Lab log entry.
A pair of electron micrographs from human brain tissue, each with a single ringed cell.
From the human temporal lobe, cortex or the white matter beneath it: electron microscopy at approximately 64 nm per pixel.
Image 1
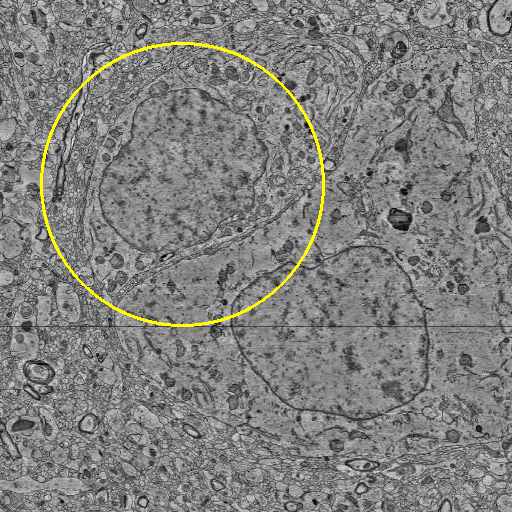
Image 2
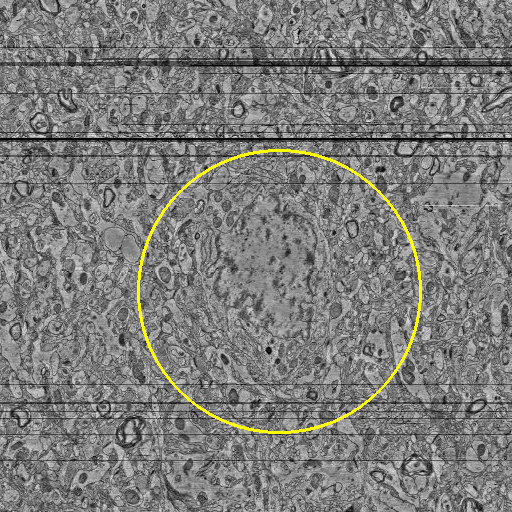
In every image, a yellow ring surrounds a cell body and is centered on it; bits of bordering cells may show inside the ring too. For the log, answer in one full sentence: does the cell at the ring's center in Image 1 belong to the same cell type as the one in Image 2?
Yes, the cells at the ring centers in Image 1 and Image 2 share one type.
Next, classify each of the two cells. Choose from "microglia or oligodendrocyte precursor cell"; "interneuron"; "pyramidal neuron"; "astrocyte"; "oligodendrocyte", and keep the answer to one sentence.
Each of the ringed cells, first and second, is an interneuron.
